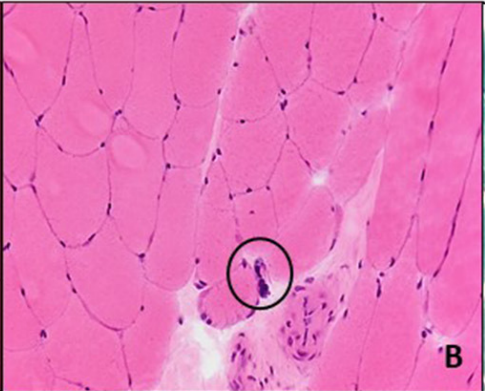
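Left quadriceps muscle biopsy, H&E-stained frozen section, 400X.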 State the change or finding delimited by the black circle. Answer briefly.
Nuclear bags.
